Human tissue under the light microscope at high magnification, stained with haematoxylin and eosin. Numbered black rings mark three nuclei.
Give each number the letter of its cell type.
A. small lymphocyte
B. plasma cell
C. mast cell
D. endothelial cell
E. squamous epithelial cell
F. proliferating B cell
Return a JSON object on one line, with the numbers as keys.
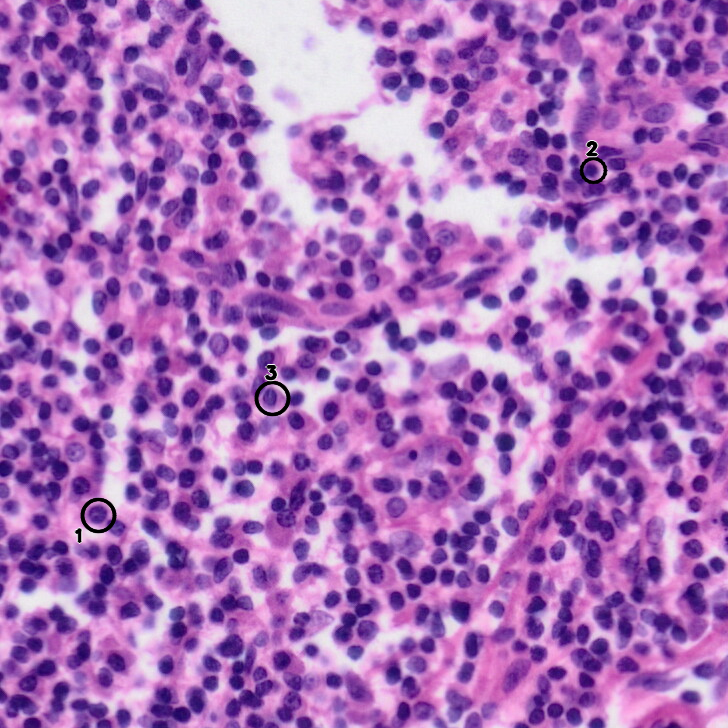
{"1": "B", "2": "A", "3": "B"}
